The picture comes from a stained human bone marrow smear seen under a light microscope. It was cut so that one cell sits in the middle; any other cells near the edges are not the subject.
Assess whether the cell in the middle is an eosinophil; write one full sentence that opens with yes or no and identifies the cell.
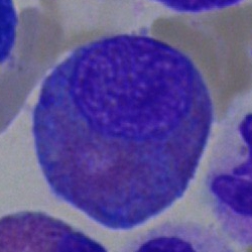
Yes, the cell found in the middle is an eosinophil.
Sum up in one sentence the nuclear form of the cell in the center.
Its nucleus is compact and single, with a round, oval or kidney-shaped form.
